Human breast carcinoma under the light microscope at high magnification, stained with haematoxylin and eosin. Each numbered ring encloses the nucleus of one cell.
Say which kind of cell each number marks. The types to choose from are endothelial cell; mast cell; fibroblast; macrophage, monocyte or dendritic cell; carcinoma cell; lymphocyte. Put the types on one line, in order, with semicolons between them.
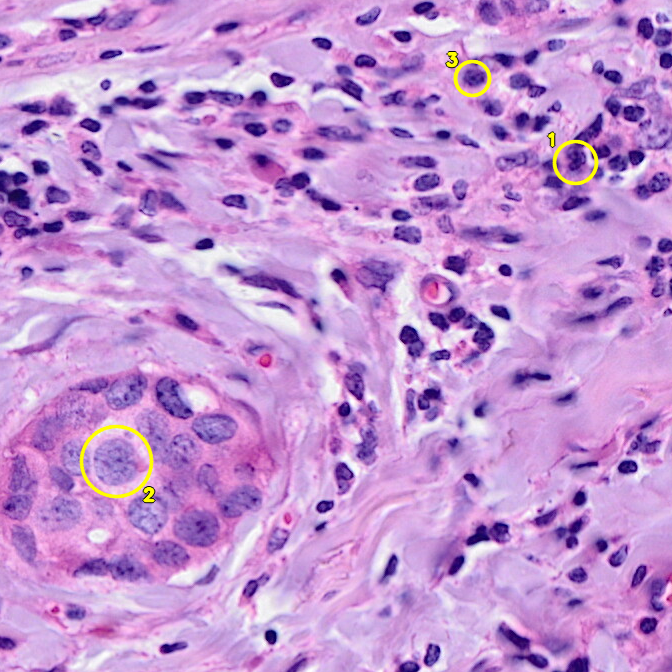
lymphocyte; carcinoma cell; lymphocyte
